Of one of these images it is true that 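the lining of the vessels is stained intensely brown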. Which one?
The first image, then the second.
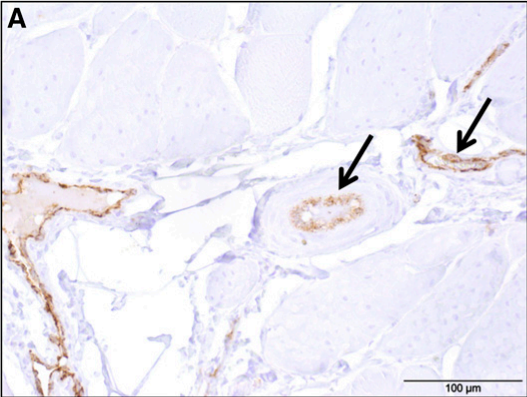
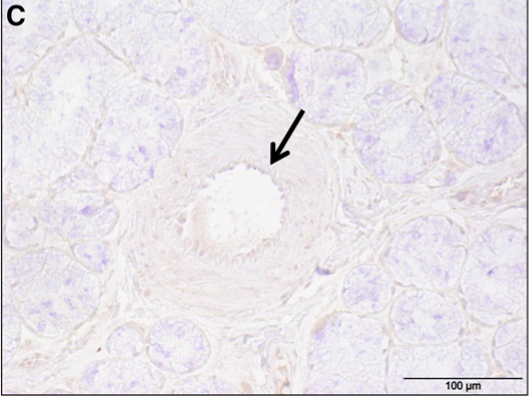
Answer: the first image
